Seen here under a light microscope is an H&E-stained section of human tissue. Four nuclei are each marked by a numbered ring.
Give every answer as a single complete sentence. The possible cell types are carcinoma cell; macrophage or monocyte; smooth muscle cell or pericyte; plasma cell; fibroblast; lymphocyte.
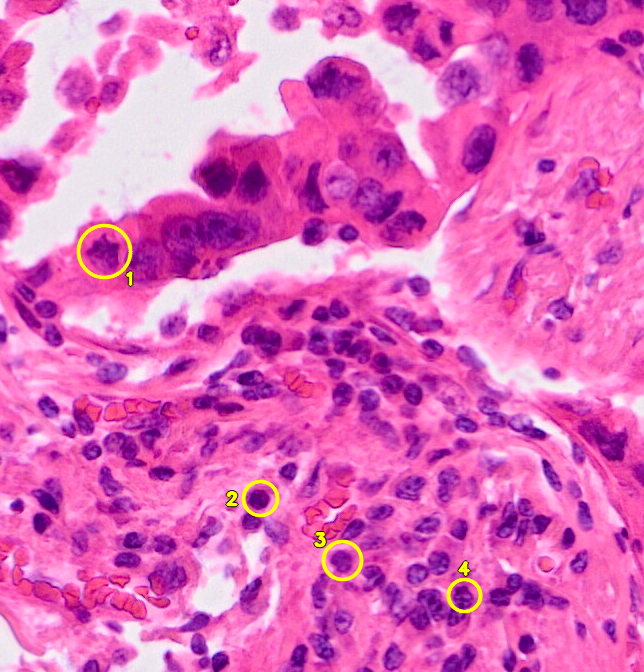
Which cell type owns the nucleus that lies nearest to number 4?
Number 4 lies closest to the nucleus of a plasma cell.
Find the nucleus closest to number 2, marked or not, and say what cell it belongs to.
The cell nearest to number 2 is a lymphocyte.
